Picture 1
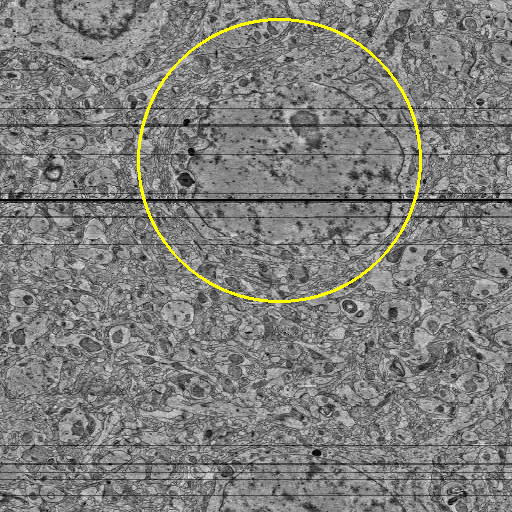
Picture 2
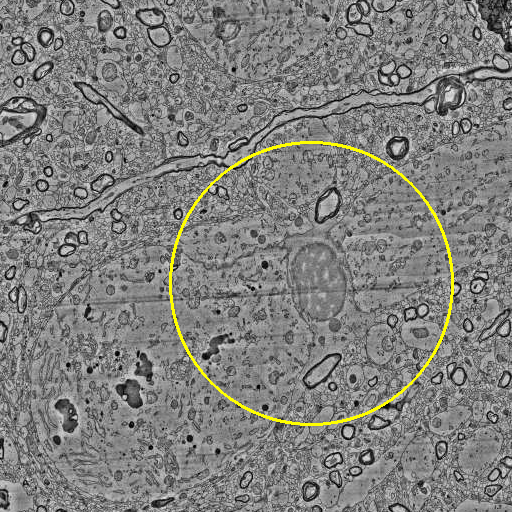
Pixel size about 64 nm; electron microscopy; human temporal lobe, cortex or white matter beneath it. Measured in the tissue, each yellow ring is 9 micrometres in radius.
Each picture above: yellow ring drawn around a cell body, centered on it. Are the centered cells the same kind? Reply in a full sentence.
No, the two cells are two kinds of cell.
